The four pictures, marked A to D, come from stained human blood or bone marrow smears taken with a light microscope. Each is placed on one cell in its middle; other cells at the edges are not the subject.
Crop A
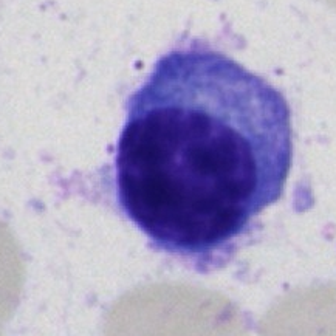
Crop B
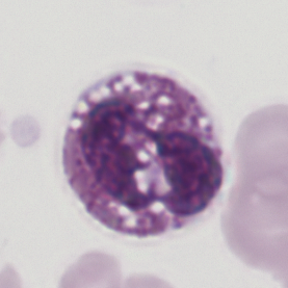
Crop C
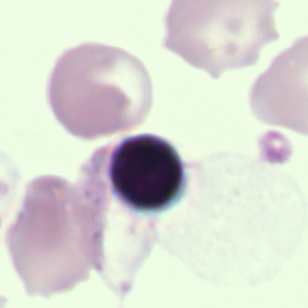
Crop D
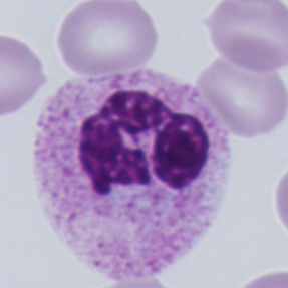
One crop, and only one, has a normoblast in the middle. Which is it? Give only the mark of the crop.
C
